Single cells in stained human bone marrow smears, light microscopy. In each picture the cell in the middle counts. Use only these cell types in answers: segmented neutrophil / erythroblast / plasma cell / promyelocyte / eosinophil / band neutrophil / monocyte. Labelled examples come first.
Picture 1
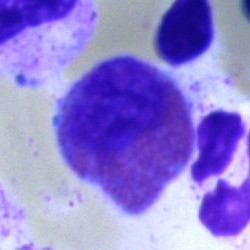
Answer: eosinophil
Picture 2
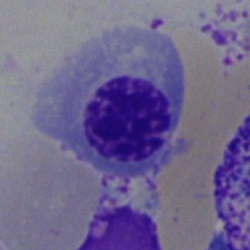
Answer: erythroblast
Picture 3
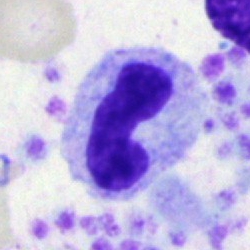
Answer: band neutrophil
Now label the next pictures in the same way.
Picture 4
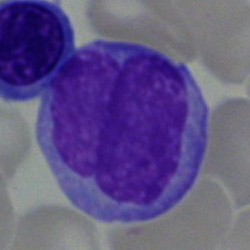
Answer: monocyte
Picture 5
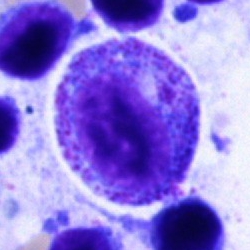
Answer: promyelocyte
